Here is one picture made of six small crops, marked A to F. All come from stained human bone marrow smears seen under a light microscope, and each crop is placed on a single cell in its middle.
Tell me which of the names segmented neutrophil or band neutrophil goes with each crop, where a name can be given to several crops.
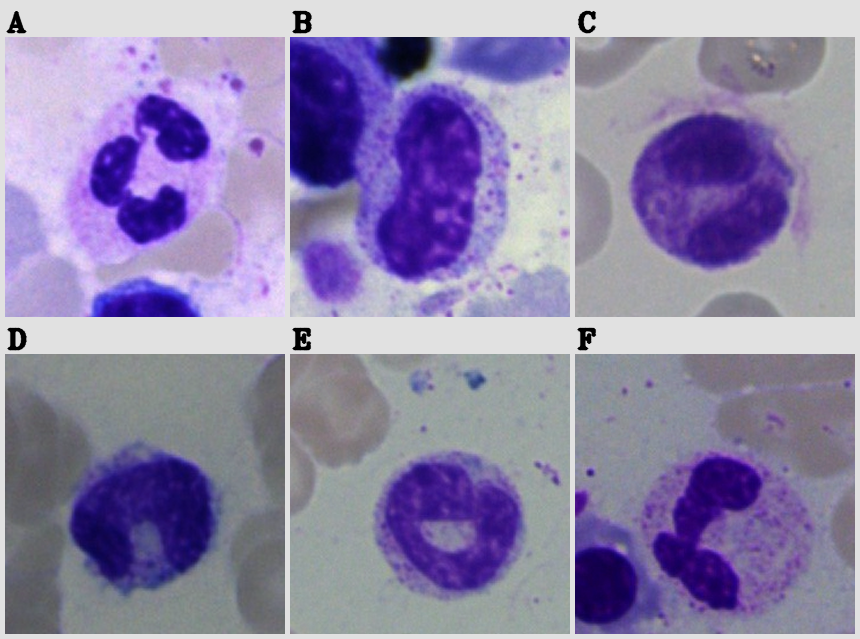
A: segmented neutrophil
B: band neutrophil
C: segmented neutrophil
D: band neutrophil
E: band neutrophil
F: segmented neutrophil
